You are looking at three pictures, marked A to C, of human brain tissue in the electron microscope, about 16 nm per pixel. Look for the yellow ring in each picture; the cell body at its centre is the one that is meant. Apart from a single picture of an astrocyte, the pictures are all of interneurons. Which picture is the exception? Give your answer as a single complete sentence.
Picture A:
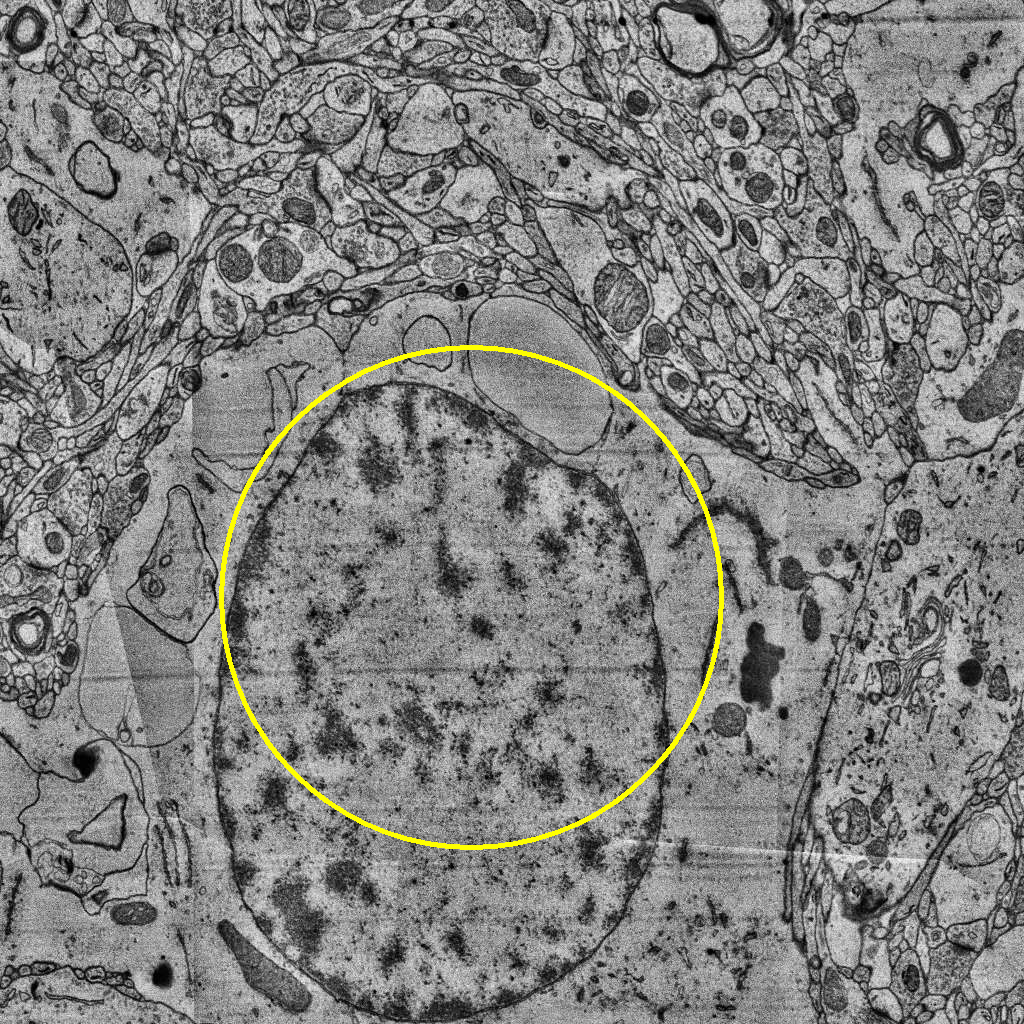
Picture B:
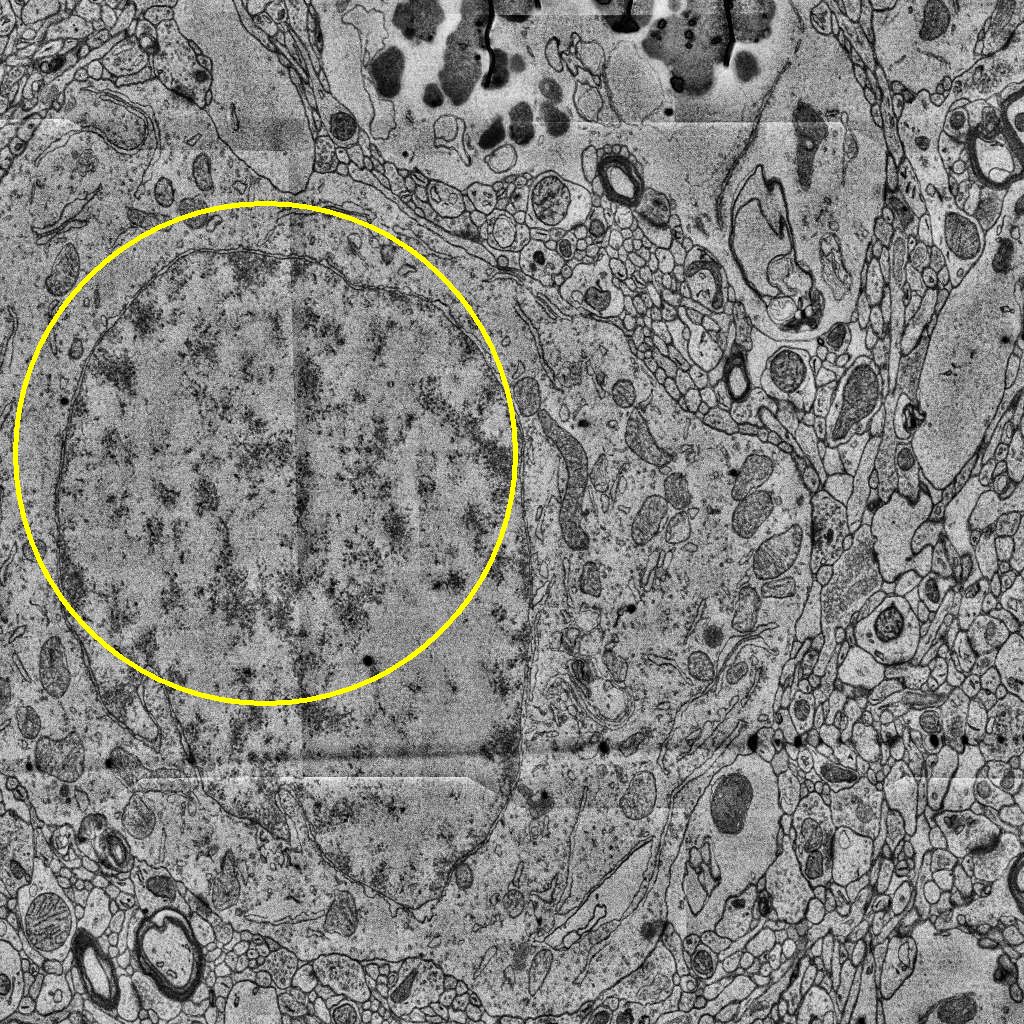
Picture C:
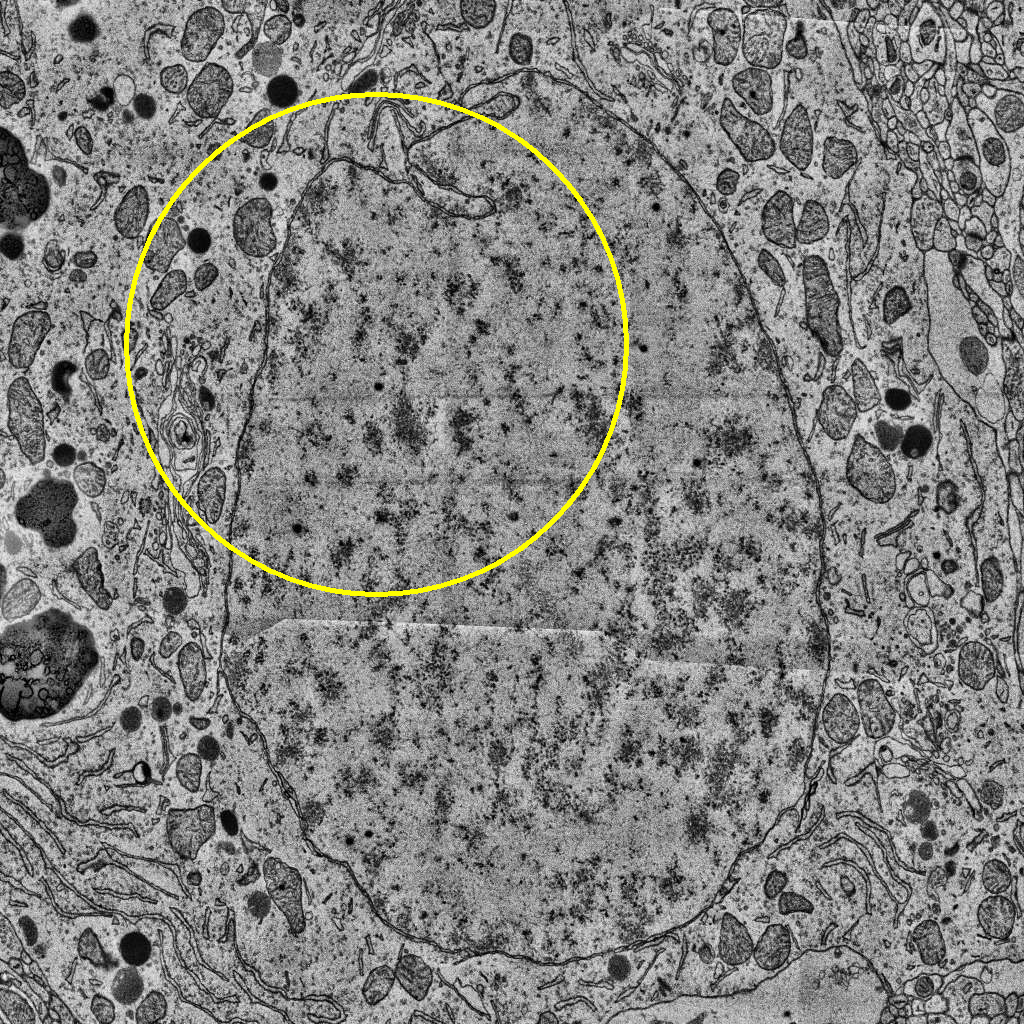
Picture A is the one that shows the astrocyte.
